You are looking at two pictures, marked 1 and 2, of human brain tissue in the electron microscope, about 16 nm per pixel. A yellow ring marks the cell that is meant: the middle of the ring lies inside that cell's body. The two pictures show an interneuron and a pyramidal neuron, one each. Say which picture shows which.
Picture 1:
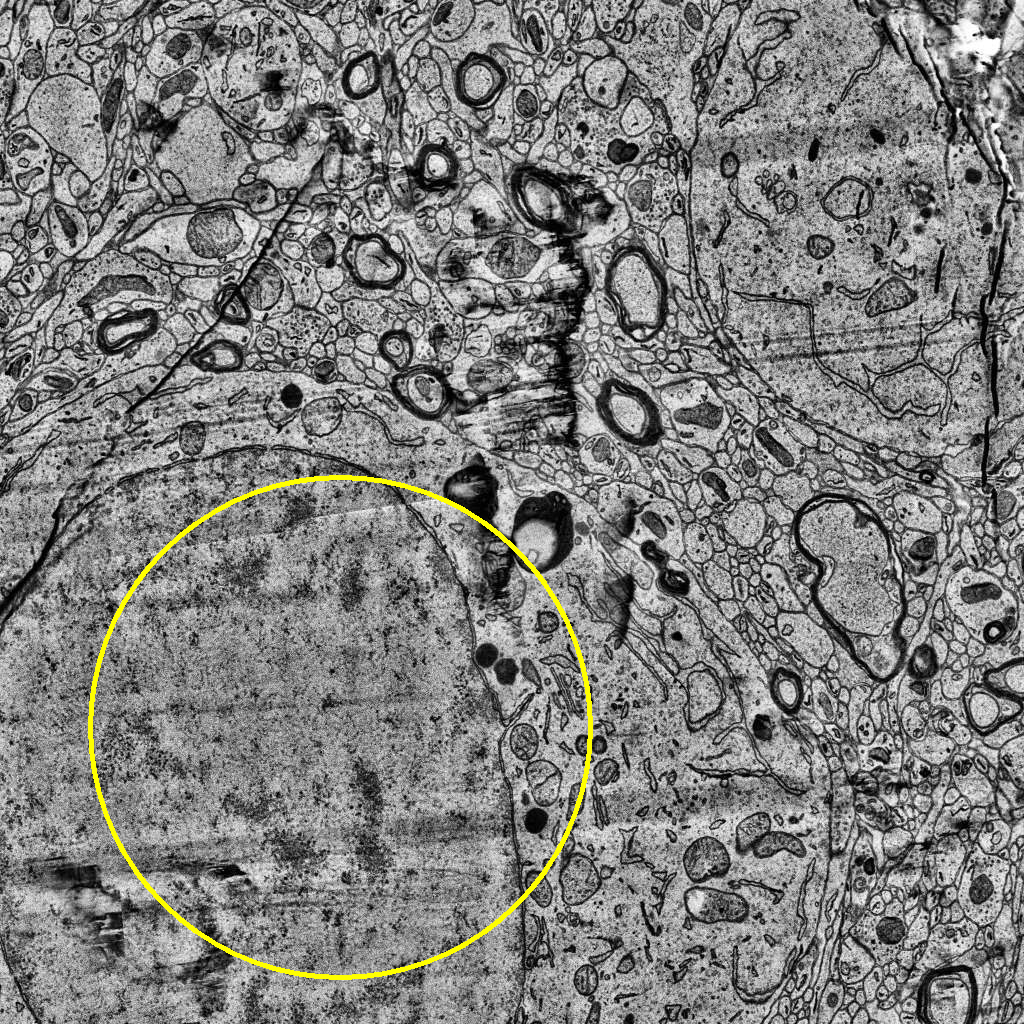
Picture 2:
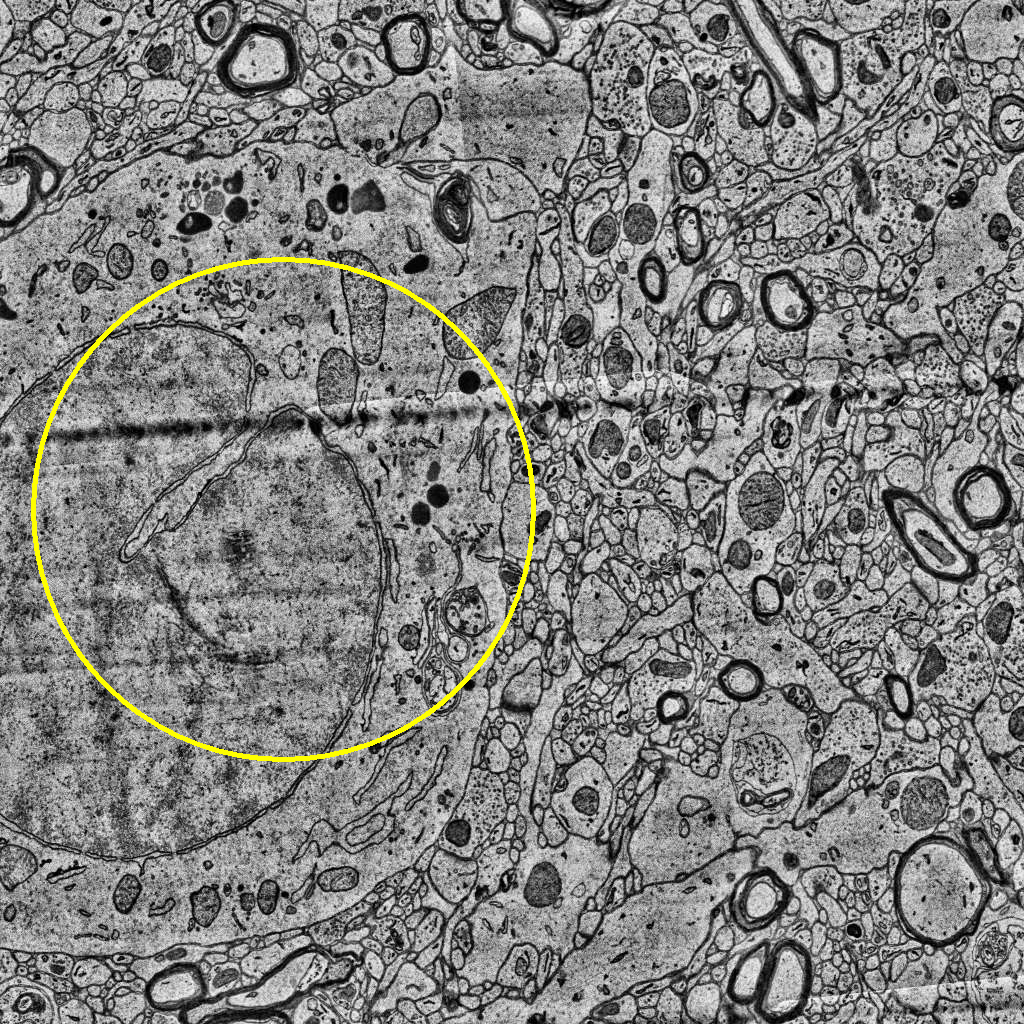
Picture 1 is of a pyramidal neuron, and picture 2 is of an interneuron.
